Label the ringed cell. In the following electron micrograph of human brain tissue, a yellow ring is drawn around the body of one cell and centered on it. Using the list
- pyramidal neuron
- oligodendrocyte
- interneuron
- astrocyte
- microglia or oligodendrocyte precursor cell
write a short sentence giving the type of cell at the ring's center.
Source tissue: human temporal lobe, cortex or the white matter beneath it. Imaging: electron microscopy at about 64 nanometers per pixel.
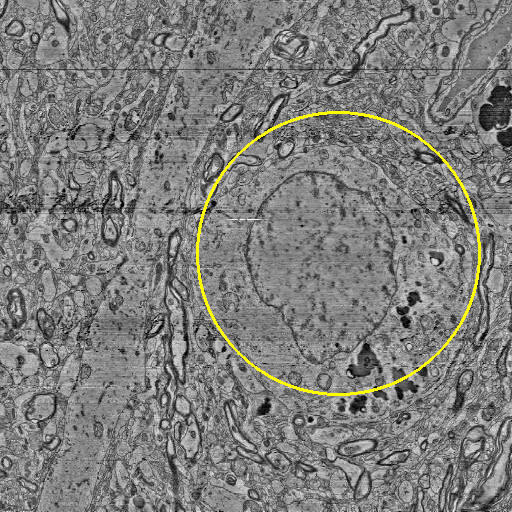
The cell body at the ring's center is that of a pyramidal neuron.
